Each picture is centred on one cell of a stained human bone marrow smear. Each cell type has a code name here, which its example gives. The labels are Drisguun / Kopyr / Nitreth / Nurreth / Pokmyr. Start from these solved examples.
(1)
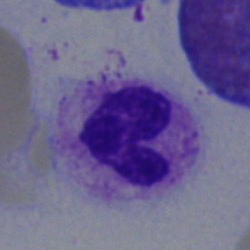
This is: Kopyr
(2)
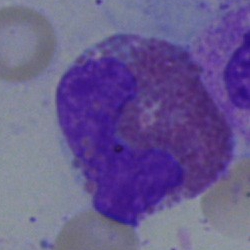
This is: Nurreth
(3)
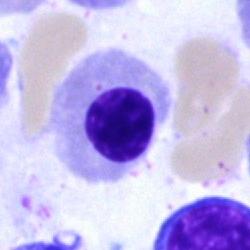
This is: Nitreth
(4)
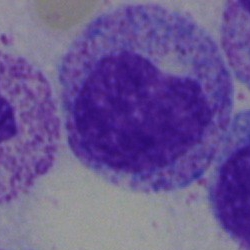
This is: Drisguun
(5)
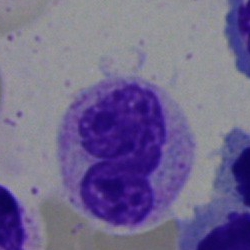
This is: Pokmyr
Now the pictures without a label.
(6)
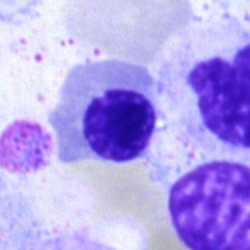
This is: Nitreth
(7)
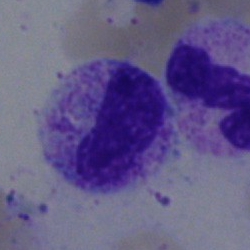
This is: Pokmyr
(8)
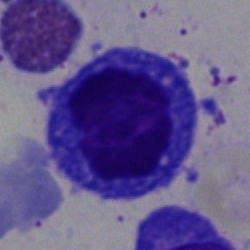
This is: Nitreth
